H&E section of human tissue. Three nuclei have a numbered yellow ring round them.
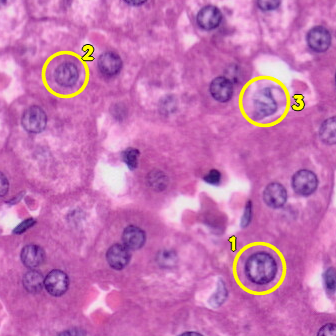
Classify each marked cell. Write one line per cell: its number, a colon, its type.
1: hepatocyte
2: hepatocyte
3: Kupffer cell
